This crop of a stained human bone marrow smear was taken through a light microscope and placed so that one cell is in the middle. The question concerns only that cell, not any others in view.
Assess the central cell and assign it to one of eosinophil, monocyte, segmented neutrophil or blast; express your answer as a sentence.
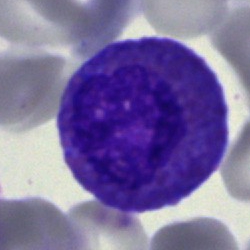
The cell the crop is centered on is an eosinophil.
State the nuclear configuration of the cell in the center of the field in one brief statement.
There is one compact nucleus, and its shape is round, oval or kidney-like.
